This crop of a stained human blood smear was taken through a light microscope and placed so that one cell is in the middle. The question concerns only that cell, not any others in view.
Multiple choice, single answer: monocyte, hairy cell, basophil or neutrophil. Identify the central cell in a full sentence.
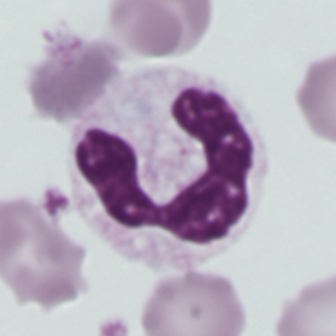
Classification of the middle cell gives a neutrophil.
